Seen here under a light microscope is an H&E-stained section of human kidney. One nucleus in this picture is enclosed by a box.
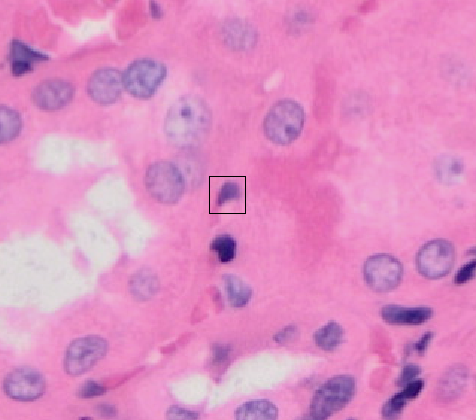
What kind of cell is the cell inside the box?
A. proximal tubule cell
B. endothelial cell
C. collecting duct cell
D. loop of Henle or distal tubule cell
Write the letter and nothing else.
B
